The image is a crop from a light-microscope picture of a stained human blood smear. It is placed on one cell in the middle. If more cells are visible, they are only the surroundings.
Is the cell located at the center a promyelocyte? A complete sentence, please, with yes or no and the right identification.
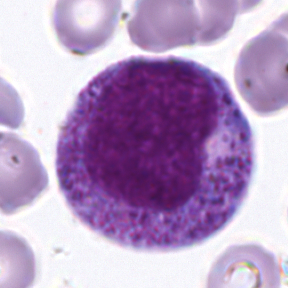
Yes, the cell occupying the center is a promyelocyte.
